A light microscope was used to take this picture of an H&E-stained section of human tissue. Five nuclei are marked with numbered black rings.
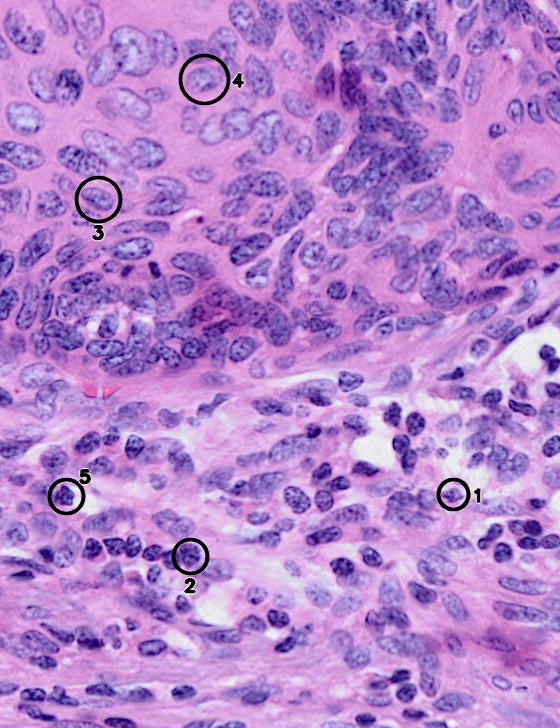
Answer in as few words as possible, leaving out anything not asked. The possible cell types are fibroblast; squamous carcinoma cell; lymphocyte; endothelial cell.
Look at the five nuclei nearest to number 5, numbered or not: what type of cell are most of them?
fibroblast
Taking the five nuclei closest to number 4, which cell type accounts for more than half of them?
squamous carcinoma cell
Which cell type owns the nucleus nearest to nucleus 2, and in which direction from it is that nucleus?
a lymphocyte to the left of nucleus 2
